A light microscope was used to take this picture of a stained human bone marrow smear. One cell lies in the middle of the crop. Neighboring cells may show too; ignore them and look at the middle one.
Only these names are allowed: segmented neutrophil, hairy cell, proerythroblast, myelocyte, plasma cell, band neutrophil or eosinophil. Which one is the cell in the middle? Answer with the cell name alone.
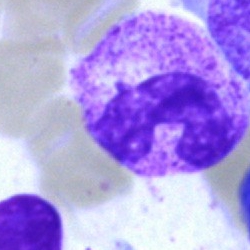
band neutrophil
